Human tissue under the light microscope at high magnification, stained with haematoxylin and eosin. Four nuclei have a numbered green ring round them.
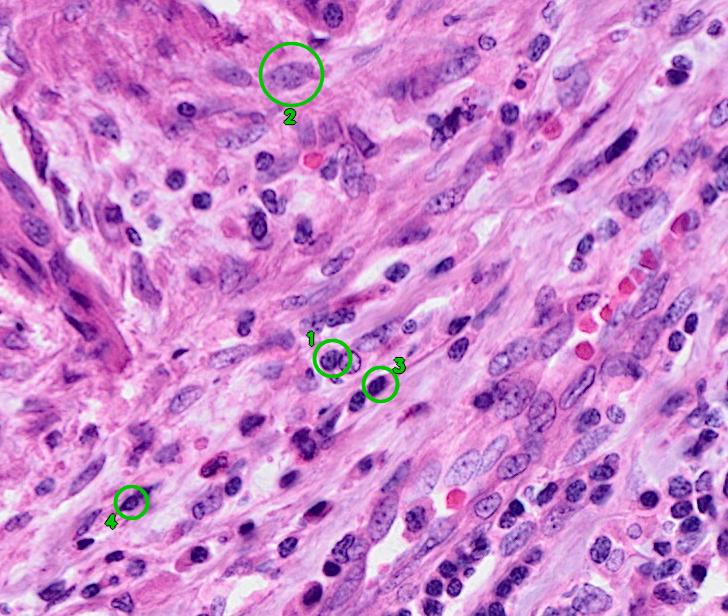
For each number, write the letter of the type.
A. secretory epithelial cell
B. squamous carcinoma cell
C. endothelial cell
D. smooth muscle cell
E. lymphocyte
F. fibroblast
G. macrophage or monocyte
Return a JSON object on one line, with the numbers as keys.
{"1": "E", "2": "F", "3": "E", "4": "E"}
